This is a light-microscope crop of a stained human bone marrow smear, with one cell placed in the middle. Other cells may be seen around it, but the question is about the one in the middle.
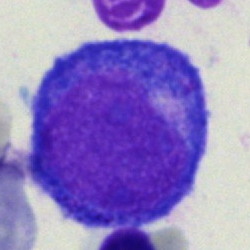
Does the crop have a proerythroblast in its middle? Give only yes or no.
yes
